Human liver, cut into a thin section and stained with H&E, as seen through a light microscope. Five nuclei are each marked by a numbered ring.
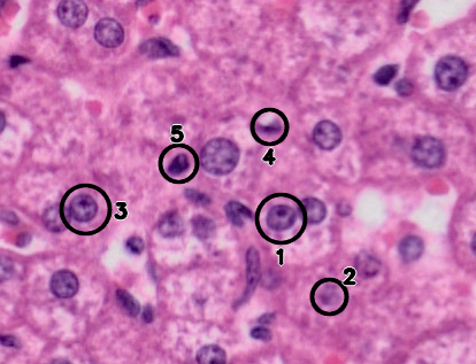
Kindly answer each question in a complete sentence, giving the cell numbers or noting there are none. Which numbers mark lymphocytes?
The numbered cell that is a lymphocyte is cell 5, and it is the only one.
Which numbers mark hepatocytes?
The cells marked with the numbers 1, 2 and 3 are hepatocytes.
